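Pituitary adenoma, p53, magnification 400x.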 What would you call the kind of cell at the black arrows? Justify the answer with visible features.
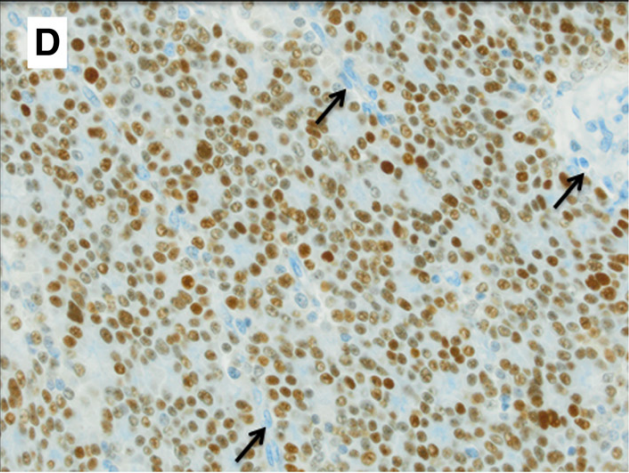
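The arrowed nuclei are elongated and slender. The arrowed nuclei are blue, unlike the surrounding brown-stained round nuclei. So: endothelial cells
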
